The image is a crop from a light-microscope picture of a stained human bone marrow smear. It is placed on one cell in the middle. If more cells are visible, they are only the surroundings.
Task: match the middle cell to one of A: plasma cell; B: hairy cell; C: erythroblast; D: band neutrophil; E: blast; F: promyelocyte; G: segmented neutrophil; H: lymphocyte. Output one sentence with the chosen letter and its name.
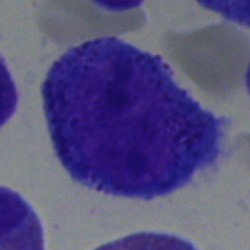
Option F is correct in that the central cell is a promyelocyte.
